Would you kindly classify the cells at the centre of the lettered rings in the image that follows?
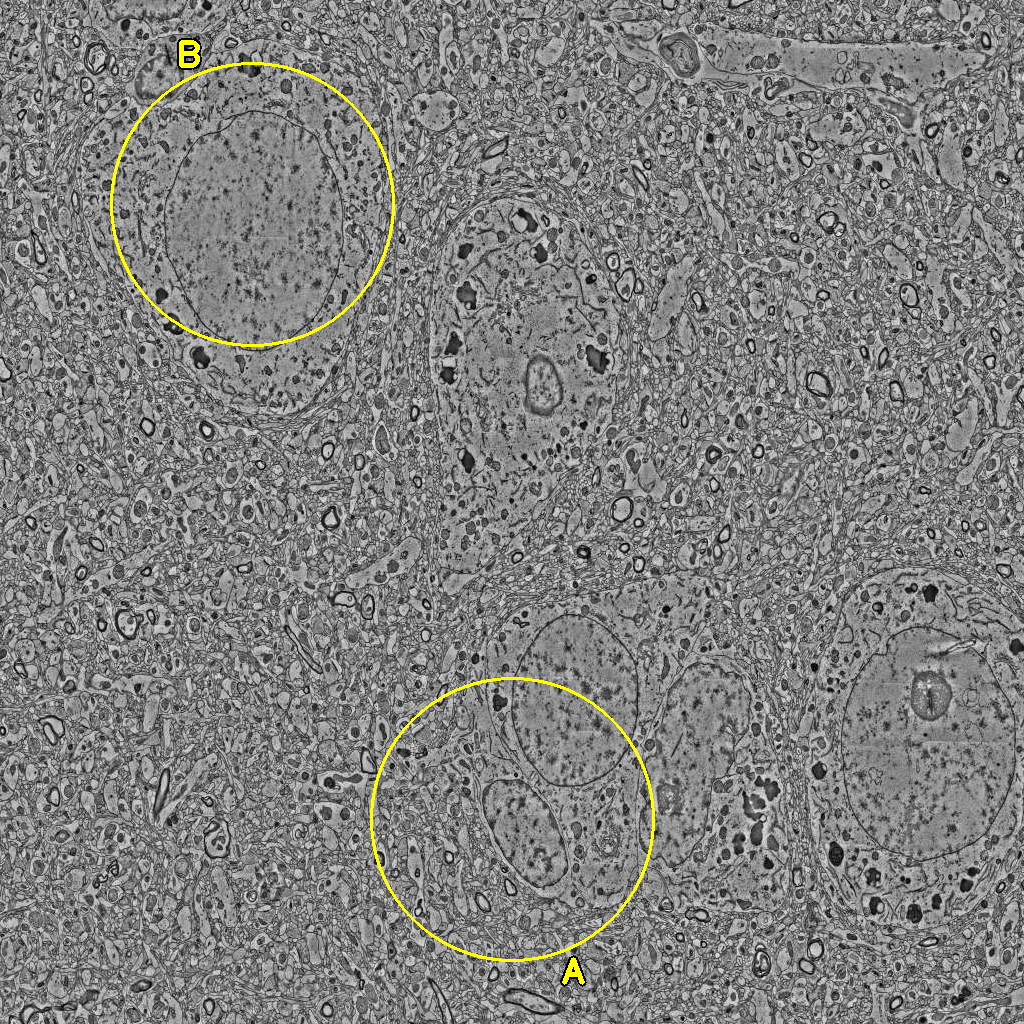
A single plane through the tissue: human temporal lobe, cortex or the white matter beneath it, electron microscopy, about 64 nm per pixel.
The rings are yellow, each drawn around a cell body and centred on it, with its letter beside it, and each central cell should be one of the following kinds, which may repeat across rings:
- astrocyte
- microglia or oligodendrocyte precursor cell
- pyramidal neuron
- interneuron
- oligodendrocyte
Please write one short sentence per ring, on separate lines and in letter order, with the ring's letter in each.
The kind of cell at the centre of ring A is a microglial cell or oligodendrocyte precursor cell.
The kind of cell at the centre of ring B is a pyramidal neuron.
